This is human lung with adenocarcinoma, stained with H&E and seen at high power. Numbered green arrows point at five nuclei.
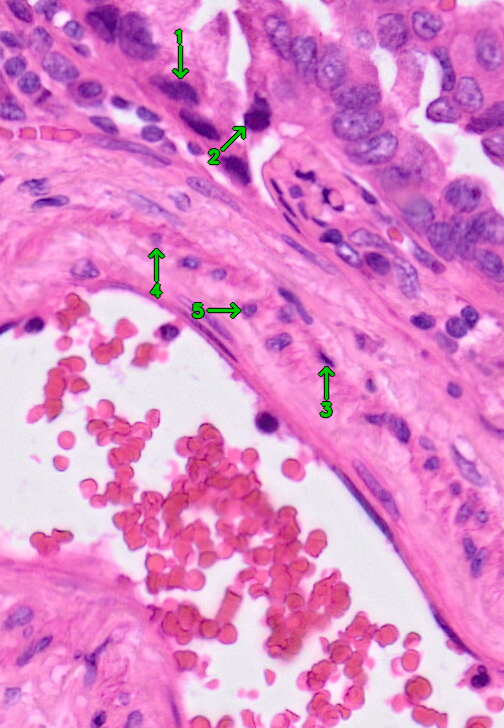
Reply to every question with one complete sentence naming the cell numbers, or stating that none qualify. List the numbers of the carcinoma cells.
Regarding the numbered cells 1 and 2, these are carcinoma cells.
